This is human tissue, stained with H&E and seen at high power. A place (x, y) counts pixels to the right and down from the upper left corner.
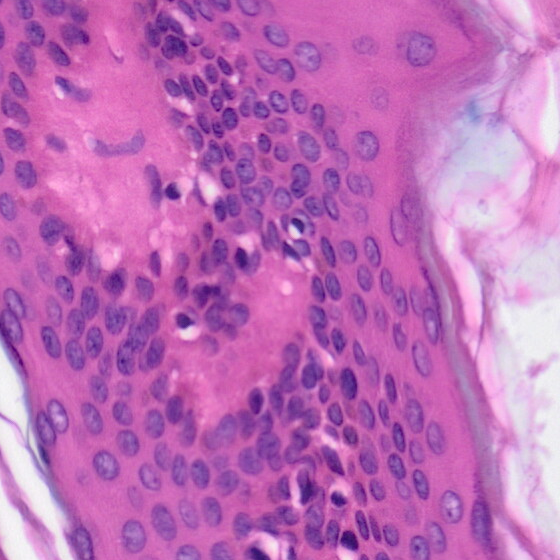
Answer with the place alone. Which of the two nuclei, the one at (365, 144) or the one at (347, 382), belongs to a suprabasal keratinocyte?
(365, 144)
